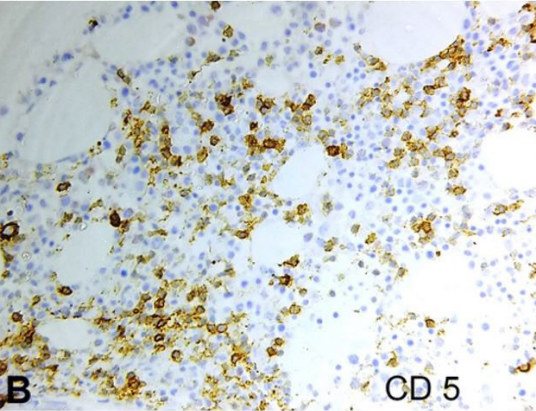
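Bone marrow with many small lymphoid cells, a large share of which show brown membrane staining. The stained cells are round with scant cytoplasm and lie scattered and in small clusters between empty round fat spaces. Other cells show only blue counterstained nuclei.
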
